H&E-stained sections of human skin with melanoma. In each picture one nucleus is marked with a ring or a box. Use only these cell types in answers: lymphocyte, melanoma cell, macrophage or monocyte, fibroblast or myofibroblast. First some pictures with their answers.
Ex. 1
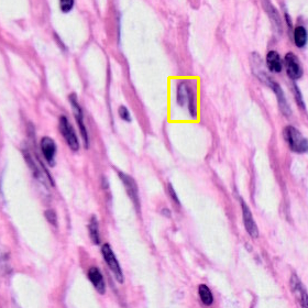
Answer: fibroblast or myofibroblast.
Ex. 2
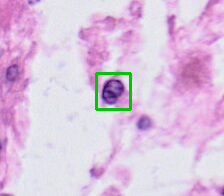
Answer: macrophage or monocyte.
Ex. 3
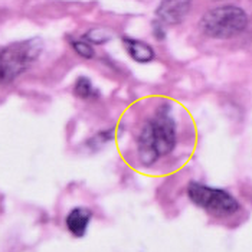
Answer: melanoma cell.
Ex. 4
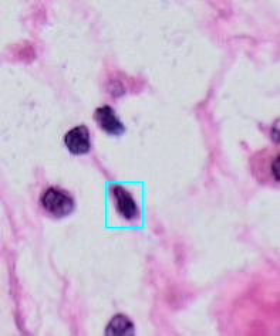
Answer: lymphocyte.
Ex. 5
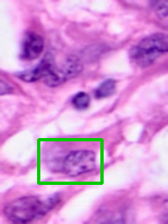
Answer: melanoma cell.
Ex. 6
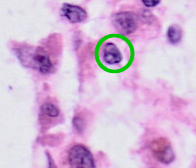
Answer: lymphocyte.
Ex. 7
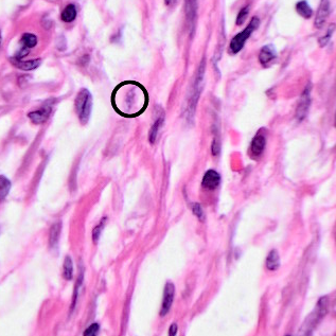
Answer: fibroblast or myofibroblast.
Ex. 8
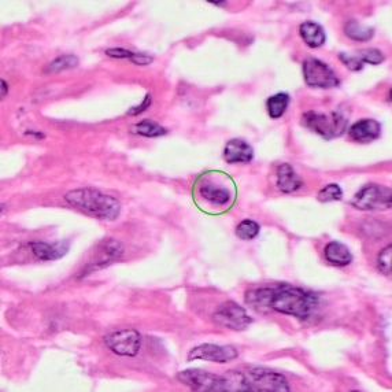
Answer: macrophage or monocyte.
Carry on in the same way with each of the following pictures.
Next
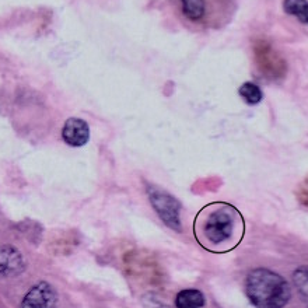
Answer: lymphocyte.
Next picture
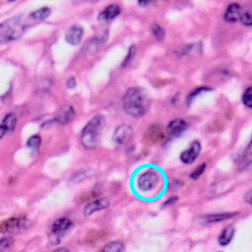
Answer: lymphocyte.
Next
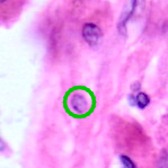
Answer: macrophage or monocyte.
